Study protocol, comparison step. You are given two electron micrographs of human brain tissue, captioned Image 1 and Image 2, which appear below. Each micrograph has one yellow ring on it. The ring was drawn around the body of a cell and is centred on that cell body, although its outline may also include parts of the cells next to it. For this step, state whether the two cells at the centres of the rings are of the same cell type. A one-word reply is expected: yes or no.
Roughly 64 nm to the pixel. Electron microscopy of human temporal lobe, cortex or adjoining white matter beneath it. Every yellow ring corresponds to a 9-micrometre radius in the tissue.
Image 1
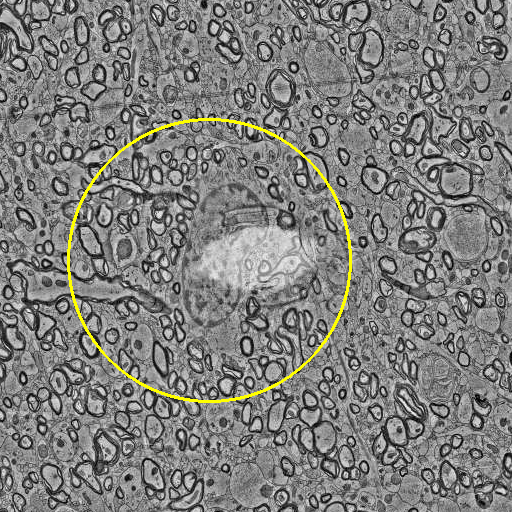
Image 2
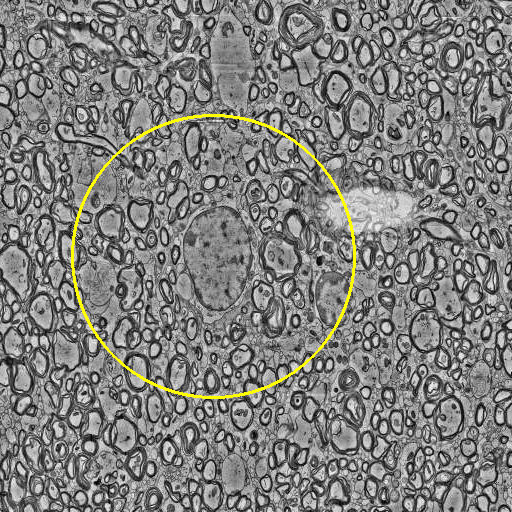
yes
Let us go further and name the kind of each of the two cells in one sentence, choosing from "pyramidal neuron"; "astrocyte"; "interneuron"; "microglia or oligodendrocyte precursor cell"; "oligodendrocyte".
The cell at the ring centre is a microglial cell or oligodendrocyte precursor cell in both pictures.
